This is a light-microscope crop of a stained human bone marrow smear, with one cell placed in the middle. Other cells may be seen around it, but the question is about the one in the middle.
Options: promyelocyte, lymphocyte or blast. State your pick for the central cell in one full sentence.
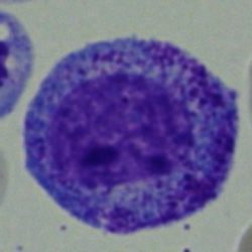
In the crop, the cell of interest at the centre is a promyelocyte.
